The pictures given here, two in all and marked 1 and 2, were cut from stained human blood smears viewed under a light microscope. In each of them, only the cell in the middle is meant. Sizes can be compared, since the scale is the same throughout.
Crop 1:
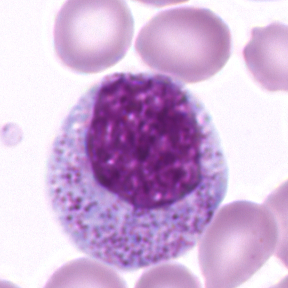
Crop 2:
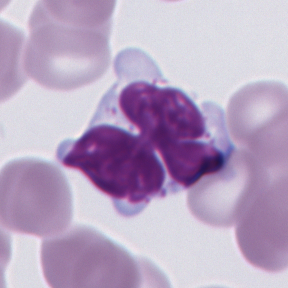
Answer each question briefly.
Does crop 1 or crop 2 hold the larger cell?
1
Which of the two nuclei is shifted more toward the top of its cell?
1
